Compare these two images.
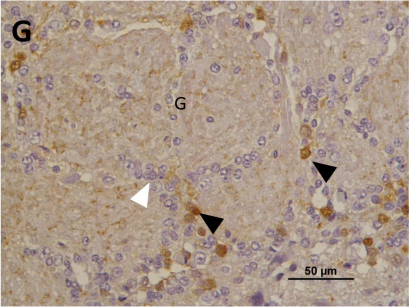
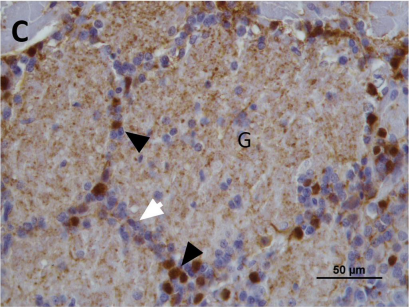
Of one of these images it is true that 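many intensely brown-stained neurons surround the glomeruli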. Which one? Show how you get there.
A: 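First image: fewer brown-stained cells around the glomeruli, mostly lighter brown. Second image: numerous dark brown cells cluster around the glomerular margins.
Answer: the second image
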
